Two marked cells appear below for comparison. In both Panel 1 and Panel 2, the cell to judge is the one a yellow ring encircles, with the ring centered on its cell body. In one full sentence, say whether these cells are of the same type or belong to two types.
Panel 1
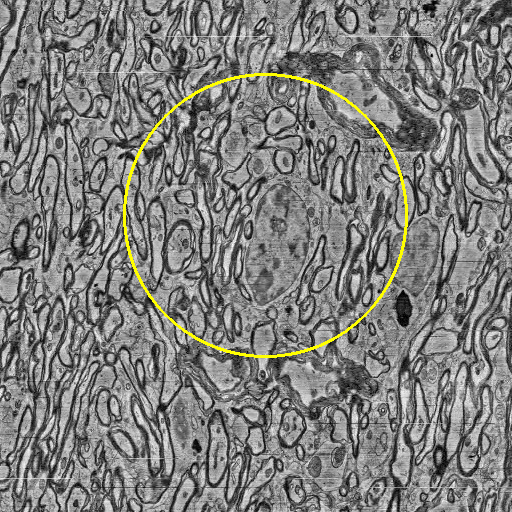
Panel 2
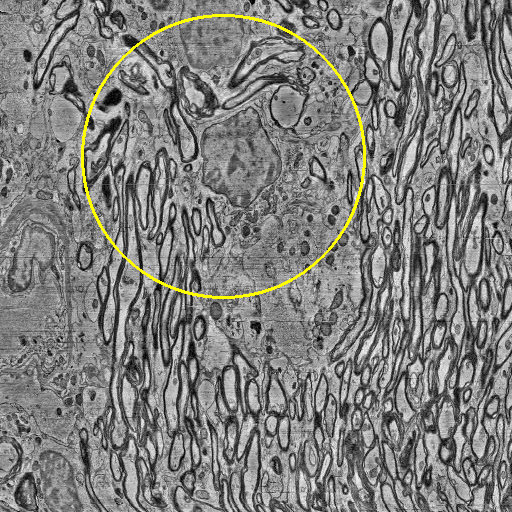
The cell centered in the Panel 1 ring and the one in Panel 2 are of the same type.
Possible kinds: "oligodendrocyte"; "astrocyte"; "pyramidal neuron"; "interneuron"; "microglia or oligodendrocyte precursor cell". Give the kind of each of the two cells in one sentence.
Each of the two pictures has a microglial cell or oligodendrocyte precursor cell at the ring centre.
